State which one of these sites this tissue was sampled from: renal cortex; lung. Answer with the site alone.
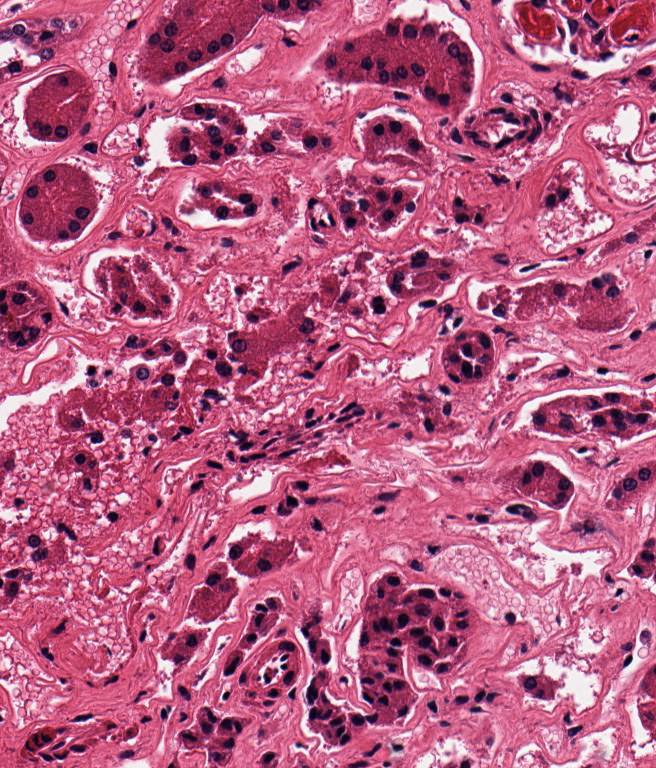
renal cortex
